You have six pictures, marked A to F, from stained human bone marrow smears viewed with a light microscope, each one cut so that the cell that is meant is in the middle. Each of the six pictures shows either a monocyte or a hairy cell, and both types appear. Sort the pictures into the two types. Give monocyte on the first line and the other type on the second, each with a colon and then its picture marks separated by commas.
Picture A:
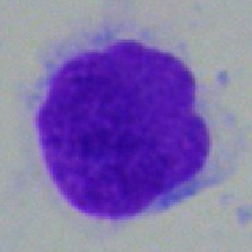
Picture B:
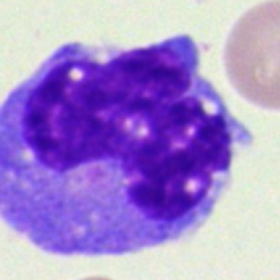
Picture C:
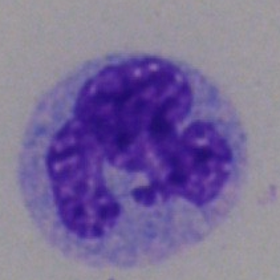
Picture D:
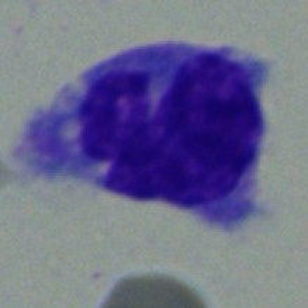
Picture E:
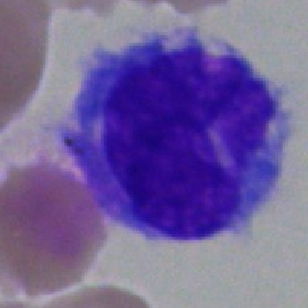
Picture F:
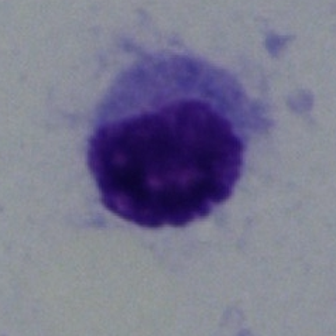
monocyte: B, C, D, E
hairy cell: A, F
